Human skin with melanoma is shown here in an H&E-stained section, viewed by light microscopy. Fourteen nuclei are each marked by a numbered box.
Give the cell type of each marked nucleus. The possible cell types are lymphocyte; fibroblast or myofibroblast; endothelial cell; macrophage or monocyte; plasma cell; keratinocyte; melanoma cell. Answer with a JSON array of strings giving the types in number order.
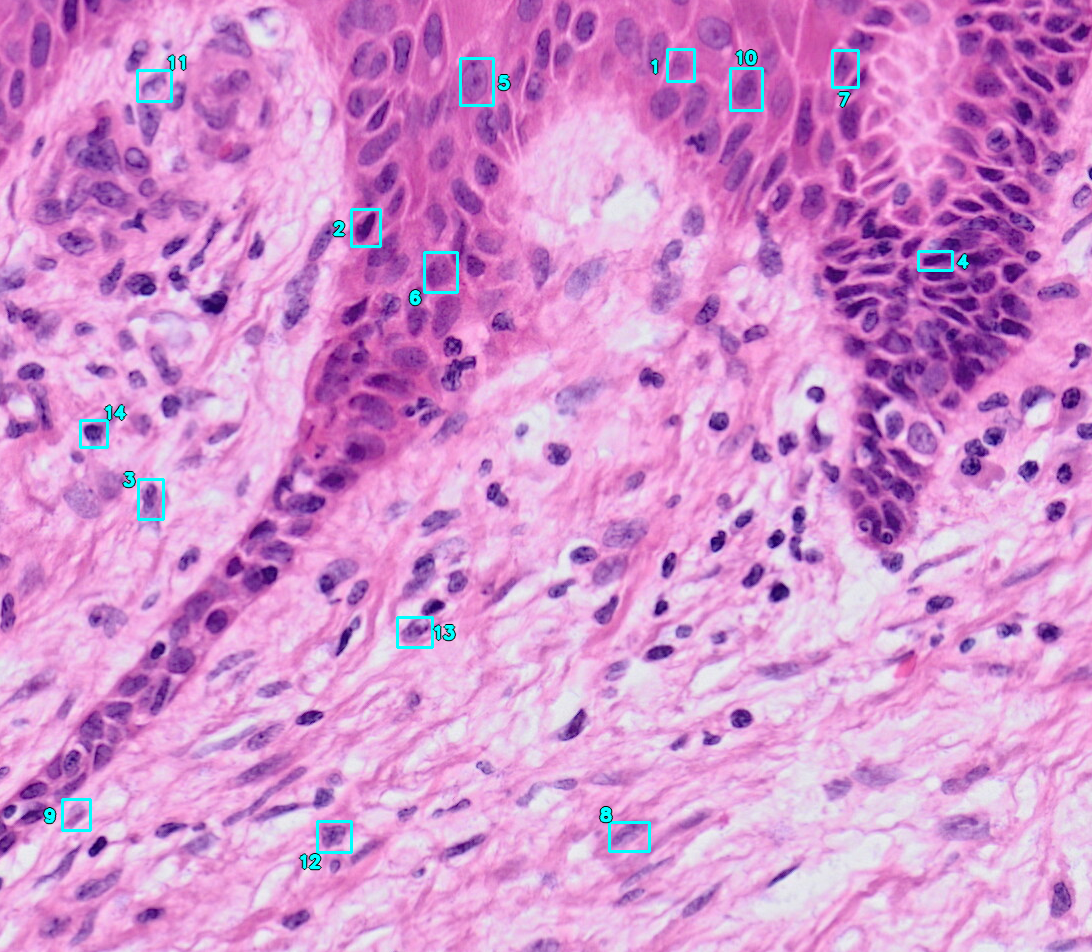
["keratinocyte", "keratinocyte", "fibroblast or myofibroblast", "keratinocyte", "keratinocyte", "keratinocyte", "keratinocyte", "fibroblast or myofibroblast", "fibroblast or myofibroblast", "keratinocyte", "fibroblast or myofibroblast", "macrophage or monocyte", "fibroblast or myofibroblast", "lymphocyte"]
